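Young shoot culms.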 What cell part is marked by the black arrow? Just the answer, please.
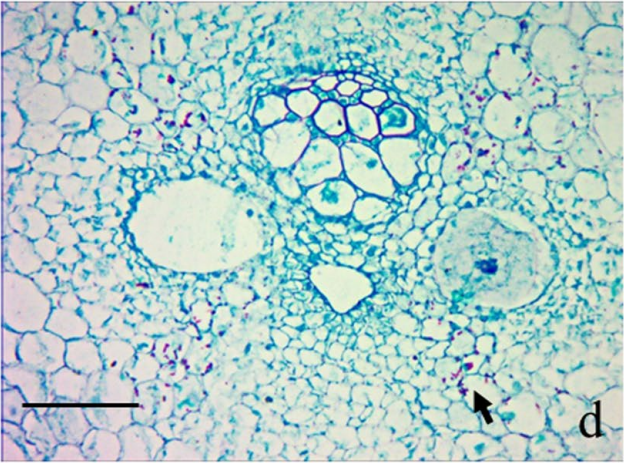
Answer: Starch granules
